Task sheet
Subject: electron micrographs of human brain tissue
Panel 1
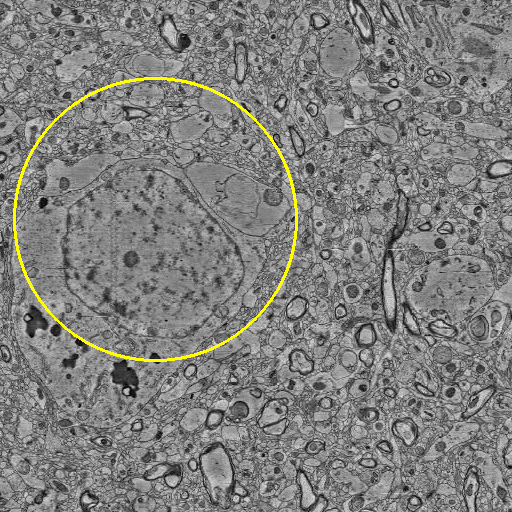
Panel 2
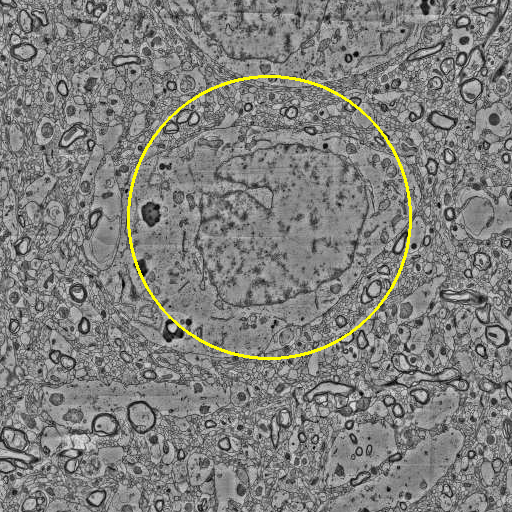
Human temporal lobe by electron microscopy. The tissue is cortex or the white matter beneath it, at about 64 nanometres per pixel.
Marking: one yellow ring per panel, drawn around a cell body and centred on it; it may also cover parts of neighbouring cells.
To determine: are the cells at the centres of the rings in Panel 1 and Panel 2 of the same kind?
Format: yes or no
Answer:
yes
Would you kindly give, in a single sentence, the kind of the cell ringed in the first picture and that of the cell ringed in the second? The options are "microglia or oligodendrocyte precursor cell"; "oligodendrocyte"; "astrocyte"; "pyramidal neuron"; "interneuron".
Each of the two pictures has an interneuron at the ring centre.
